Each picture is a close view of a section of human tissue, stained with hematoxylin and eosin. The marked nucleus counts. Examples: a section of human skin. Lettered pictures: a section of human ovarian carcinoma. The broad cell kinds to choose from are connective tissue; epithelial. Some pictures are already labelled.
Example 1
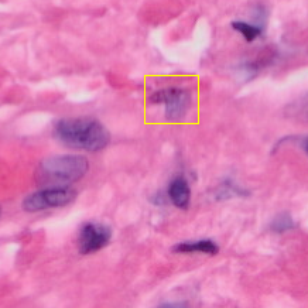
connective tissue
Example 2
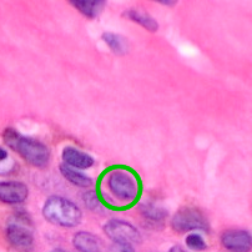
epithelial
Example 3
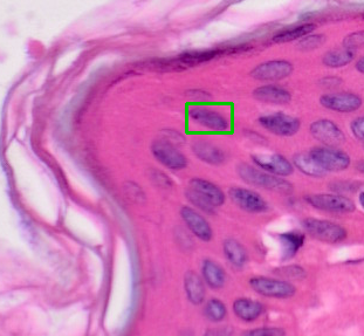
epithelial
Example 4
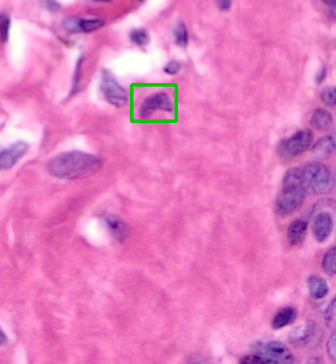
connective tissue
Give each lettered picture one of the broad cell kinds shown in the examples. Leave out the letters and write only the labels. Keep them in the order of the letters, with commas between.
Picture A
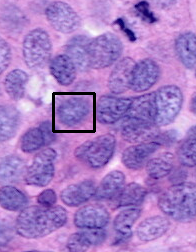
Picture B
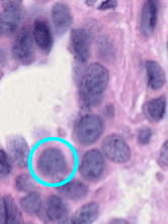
epithelial, epithelial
